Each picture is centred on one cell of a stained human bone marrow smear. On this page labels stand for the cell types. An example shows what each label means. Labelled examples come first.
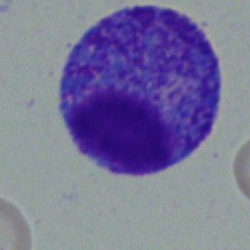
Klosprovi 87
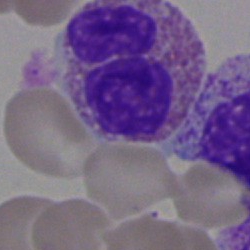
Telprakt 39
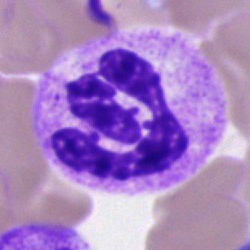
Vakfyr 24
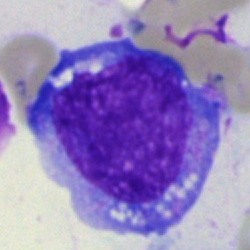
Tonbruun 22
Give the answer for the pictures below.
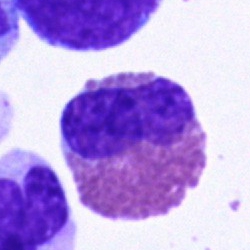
Telprakt 39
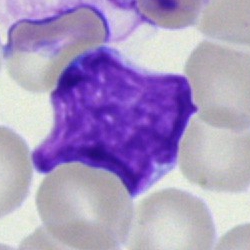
Tonbruun 22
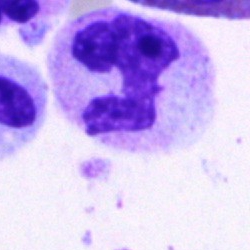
Vakfyr 24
